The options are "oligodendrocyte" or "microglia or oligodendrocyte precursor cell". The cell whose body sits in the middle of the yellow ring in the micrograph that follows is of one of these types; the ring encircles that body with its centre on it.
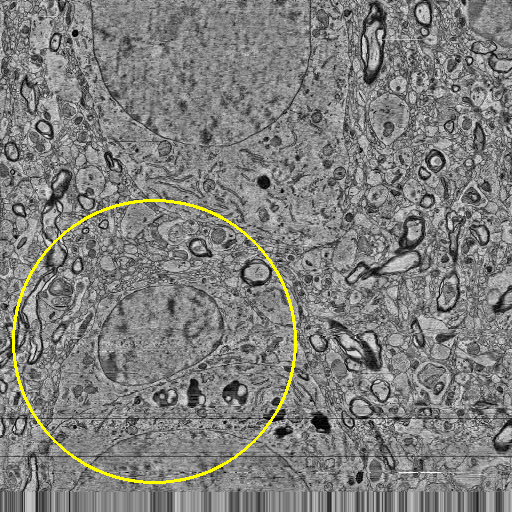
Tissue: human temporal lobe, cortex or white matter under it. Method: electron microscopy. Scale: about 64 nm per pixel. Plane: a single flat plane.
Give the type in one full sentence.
Going by the micrograph, the cell centred in the yellow ring is a microglial cell or oligodendrocyte precursor cell.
